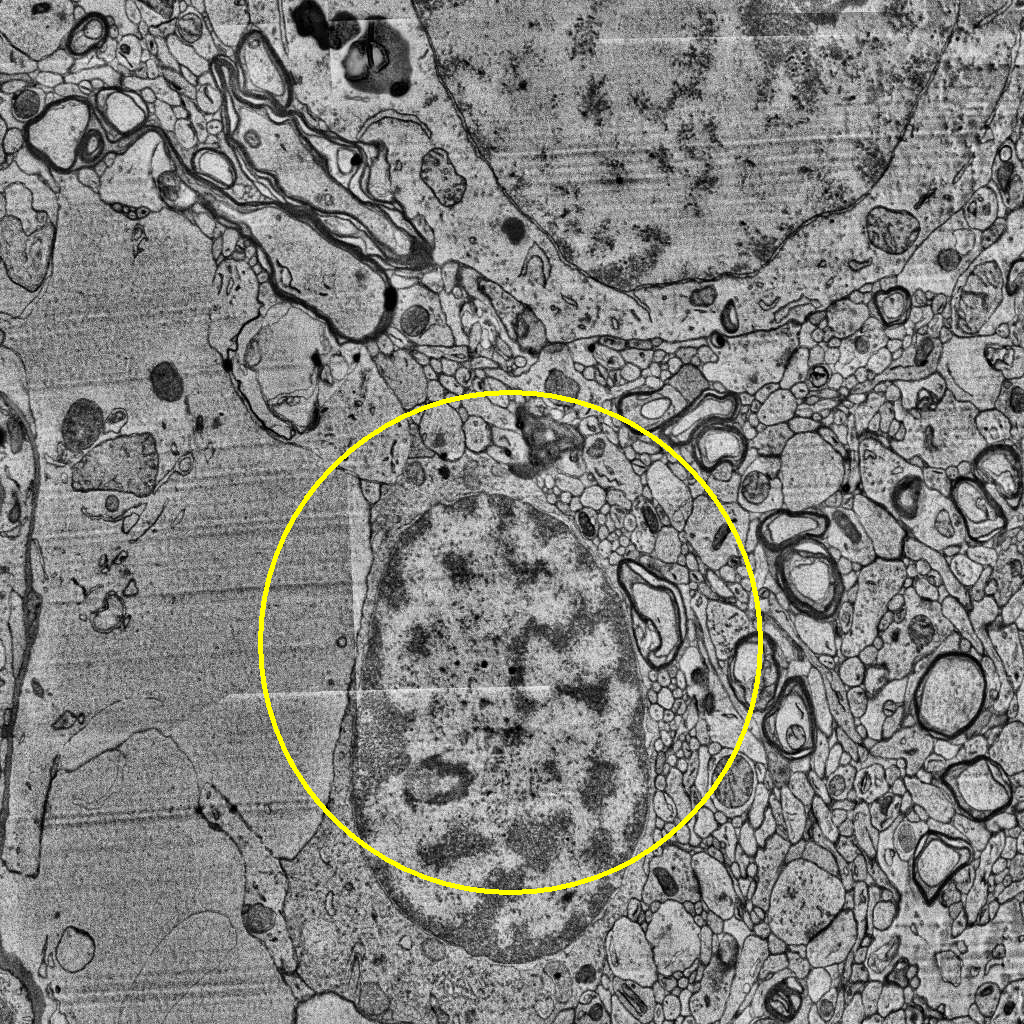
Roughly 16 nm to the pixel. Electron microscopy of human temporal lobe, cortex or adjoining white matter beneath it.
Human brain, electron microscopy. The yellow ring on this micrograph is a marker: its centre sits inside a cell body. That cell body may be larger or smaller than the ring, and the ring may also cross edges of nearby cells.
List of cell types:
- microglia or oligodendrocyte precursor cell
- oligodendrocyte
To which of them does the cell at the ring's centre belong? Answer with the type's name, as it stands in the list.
oligodendrocyte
